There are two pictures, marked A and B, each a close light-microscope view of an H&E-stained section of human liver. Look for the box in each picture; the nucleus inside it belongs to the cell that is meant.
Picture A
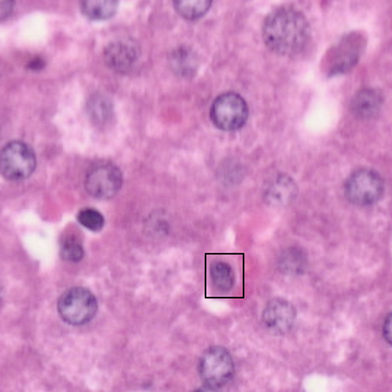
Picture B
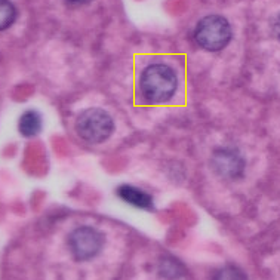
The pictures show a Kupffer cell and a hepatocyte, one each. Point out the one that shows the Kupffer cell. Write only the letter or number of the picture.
A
